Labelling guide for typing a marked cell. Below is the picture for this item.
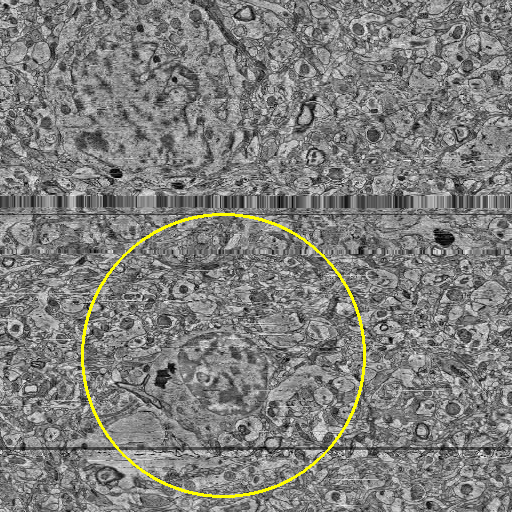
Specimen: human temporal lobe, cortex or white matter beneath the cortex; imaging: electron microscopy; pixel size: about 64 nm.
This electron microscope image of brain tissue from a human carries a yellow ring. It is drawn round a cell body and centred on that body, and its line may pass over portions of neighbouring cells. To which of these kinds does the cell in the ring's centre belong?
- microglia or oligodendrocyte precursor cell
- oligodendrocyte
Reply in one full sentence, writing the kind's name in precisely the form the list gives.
Here we have an oligodendrocyte at the centre of the yellow ring in the picture.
